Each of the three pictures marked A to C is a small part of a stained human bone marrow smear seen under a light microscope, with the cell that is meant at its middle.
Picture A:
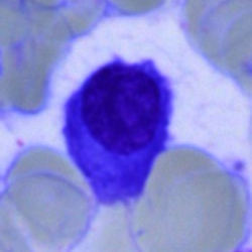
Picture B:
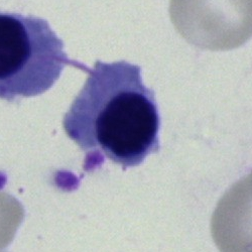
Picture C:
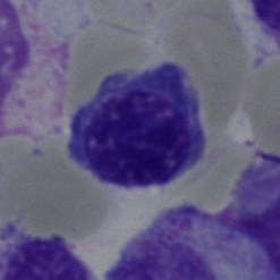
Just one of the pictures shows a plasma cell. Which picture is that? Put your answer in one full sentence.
Picture A is the one that shows the plasma cell.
